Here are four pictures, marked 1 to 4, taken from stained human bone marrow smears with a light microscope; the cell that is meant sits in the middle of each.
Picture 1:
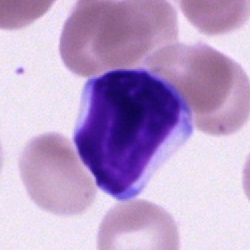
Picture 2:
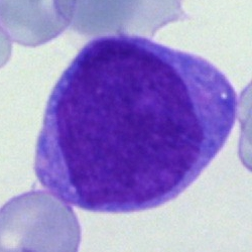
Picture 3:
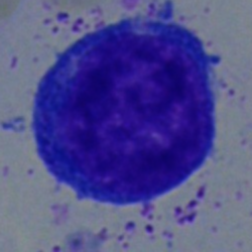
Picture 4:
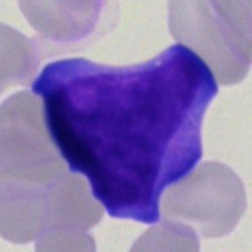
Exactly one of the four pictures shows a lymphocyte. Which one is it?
1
